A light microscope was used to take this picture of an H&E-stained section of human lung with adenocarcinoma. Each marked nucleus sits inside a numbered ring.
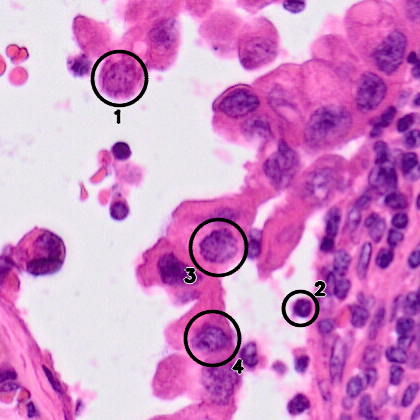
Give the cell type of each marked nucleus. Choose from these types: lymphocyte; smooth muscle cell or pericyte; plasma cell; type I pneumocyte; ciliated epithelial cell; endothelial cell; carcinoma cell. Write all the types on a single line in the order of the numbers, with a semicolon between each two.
carcinoma cell; lymphocyte; carcinoma cell; carcinoma cell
